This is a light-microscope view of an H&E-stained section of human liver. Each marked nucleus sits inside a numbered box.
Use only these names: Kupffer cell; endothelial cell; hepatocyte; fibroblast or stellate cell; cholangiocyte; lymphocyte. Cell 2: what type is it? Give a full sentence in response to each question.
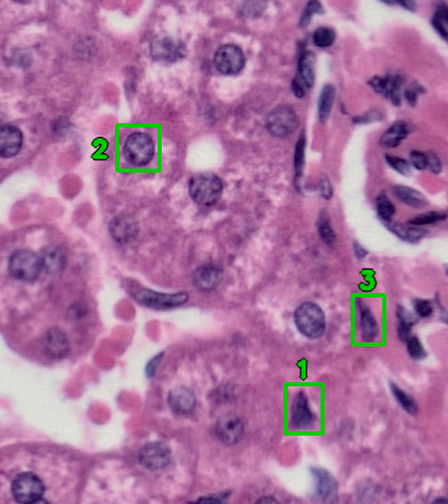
The cell referenced by the number 2 is a hepatocyte in this field.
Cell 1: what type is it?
Cell number 1 in this section is a fibroblast or stellate cell.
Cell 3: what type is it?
The cell identified by number 3 is a fibroblast or stellate cell.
